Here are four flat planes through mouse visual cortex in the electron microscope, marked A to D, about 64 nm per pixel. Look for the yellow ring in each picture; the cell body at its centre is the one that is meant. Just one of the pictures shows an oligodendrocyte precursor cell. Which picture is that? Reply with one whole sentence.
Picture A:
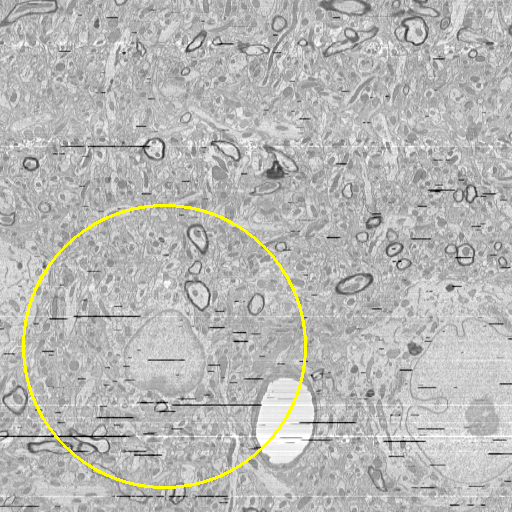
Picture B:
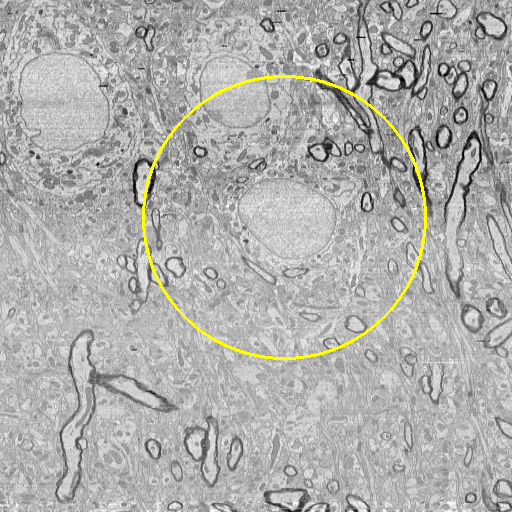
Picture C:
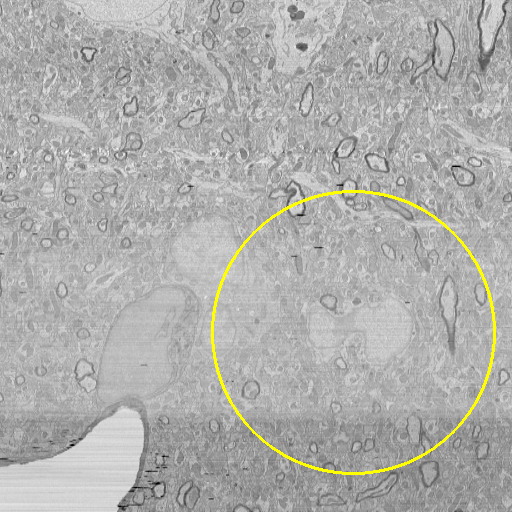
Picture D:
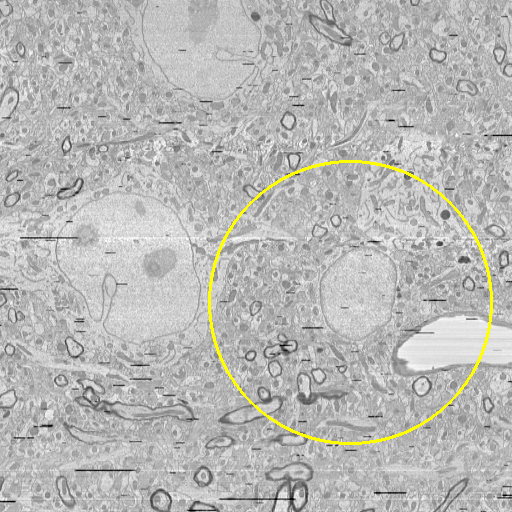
The picture with the oligodendrocyte precursor cell is C.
